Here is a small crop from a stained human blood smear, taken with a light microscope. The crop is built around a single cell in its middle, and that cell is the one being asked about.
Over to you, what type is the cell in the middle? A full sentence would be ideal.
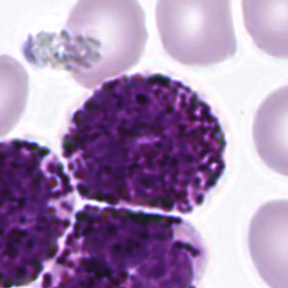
The centrally located cell in the crop is a basophil.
